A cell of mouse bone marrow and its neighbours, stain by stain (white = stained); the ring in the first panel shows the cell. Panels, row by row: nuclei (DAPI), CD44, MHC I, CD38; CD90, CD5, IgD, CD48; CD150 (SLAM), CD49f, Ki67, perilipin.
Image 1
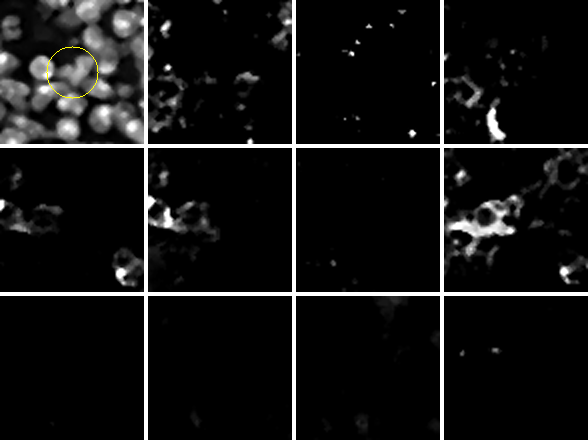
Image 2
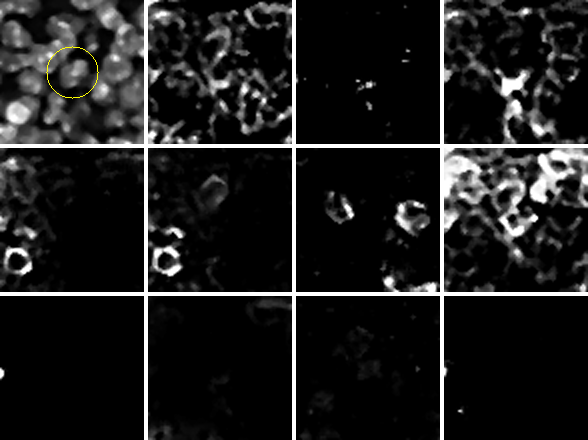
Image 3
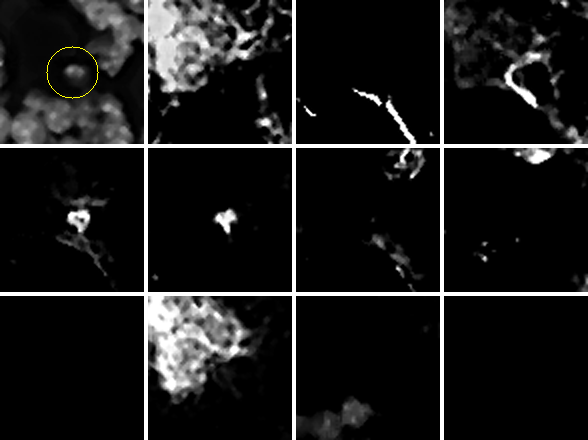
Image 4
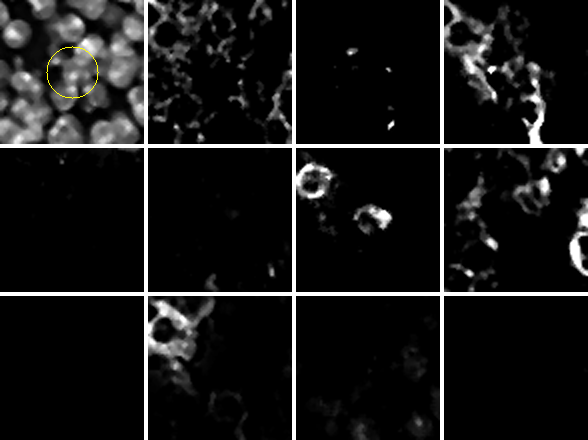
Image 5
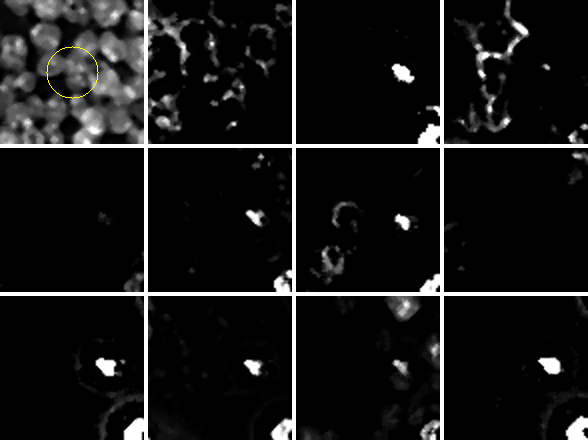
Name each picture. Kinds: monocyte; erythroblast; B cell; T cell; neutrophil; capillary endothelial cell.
1: erythroblast
2: capillary endothelial cell
3: T cell
4: B cell
5: neutrophil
